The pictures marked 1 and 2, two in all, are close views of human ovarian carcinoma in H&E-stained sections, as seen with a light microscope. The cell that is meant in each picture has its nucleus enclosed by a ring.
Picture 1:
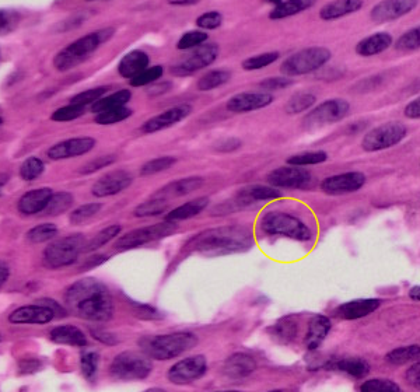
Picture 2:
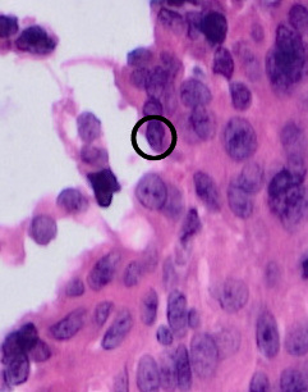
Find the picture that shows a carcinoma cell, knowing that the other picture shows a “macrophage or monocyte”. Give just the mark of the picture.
2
